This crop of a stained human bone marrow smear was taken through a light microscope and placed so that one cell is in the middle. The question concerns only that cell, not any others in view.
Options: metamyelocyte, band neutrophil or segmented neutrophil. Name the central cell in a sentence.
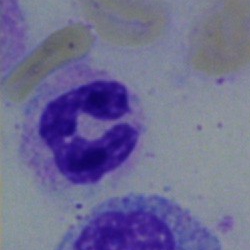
In the crop, the cell of interest at the centre is a segmented neutrophil.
